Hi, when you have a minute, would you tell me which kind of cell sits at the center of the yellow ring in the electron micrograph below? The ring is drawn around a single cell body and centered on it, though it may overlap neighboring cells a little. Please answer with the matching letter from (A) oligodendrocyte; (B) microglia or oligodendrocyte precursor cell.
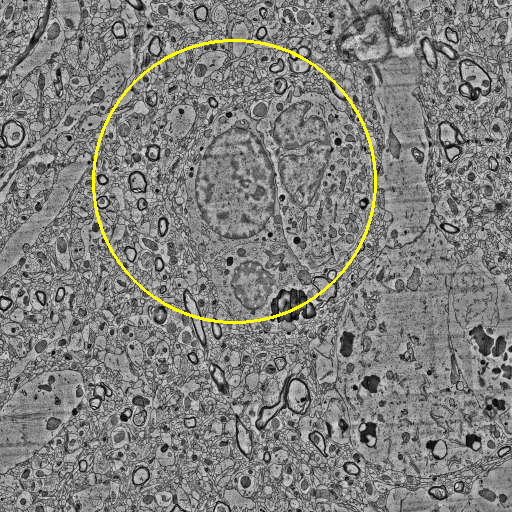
A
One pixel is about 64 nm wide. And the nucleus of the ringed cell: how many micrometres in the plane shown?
The nucleus comes to roughly 7 by 5 micrometres in this plane.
